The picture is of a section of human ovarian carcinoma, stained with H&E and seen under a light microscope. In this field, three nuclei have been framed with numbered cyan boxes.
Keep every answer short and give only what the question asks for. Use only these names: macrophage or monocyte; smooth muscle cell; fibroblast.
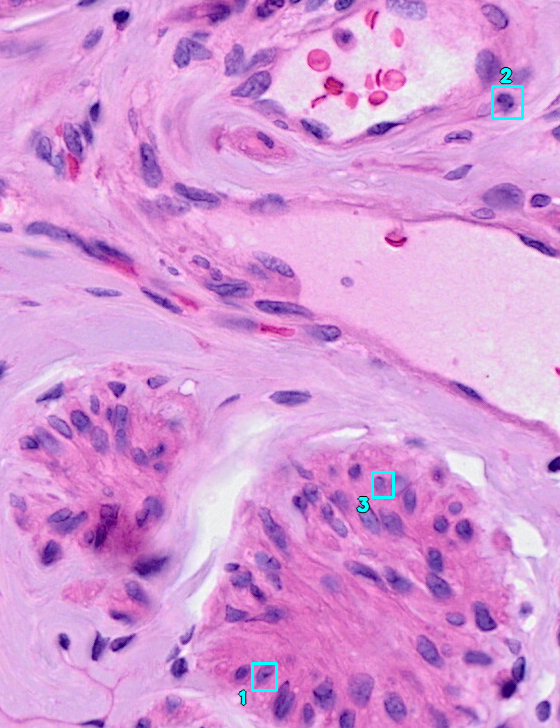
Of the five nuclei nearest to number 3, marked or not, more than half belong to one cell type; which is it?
smooth muscle cell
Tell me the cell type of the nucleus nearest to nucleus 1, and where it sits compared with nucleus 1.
a smooth muscle cell; to the left of nucleus 1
